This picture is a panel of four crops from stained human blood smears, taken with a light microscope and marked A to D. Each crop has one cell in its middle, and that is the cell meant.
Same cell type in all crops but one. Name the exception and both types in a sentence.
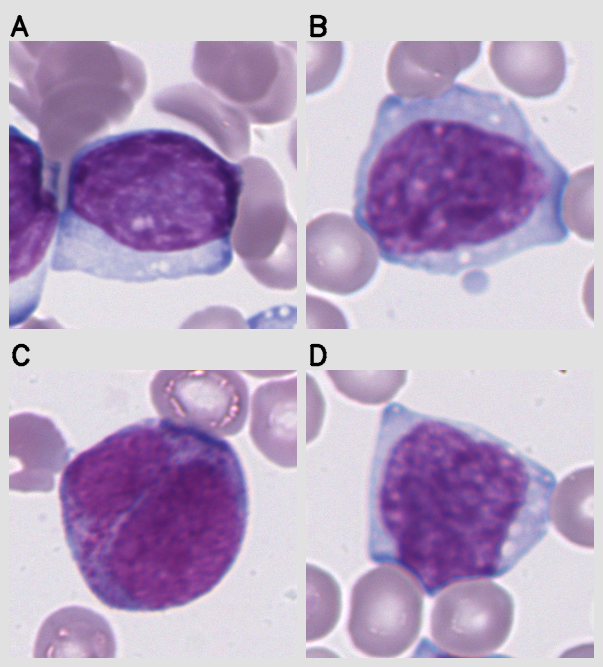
Crop C is a promyelocyte, the one exception to the myeloblasts of the other crops.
